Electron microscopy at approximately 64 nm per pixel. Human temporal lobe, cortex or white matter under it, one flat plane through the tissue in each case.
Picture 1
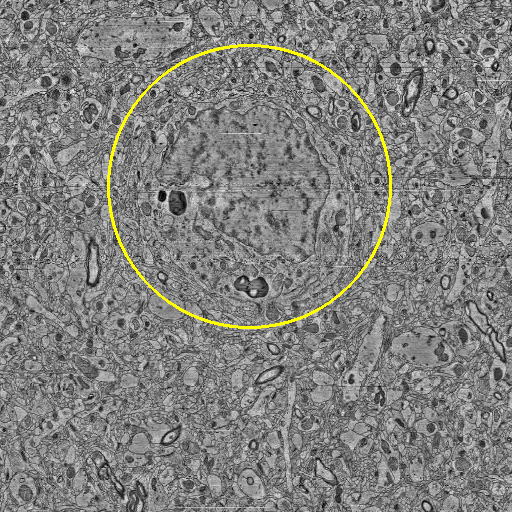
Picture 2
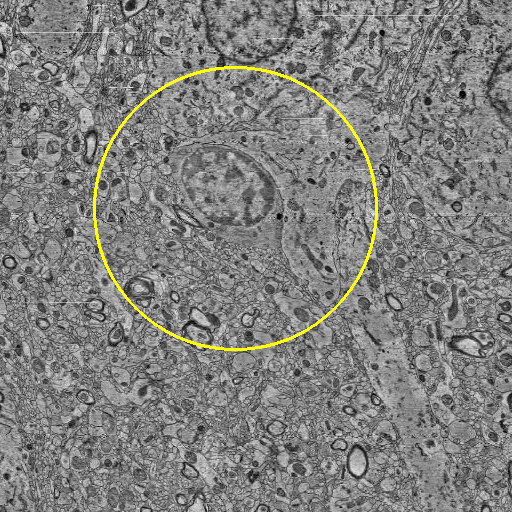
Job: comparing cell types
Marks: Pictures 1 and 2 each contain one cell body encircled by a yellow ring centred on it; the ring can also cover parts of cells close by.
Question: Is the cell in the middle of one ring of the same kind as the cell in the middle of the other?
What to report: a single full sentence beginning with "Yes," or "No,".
No, the cell at the ring centre in Picture 1 and its partner in Picture 2 are of two kinds.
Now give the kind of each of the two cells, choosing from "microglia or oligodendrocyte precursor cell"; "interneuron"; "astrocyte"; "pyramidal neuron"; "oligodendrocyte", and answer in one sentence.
The cell in the first picture is an interneuron, and the cell in the second is an oligodendrocyte.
